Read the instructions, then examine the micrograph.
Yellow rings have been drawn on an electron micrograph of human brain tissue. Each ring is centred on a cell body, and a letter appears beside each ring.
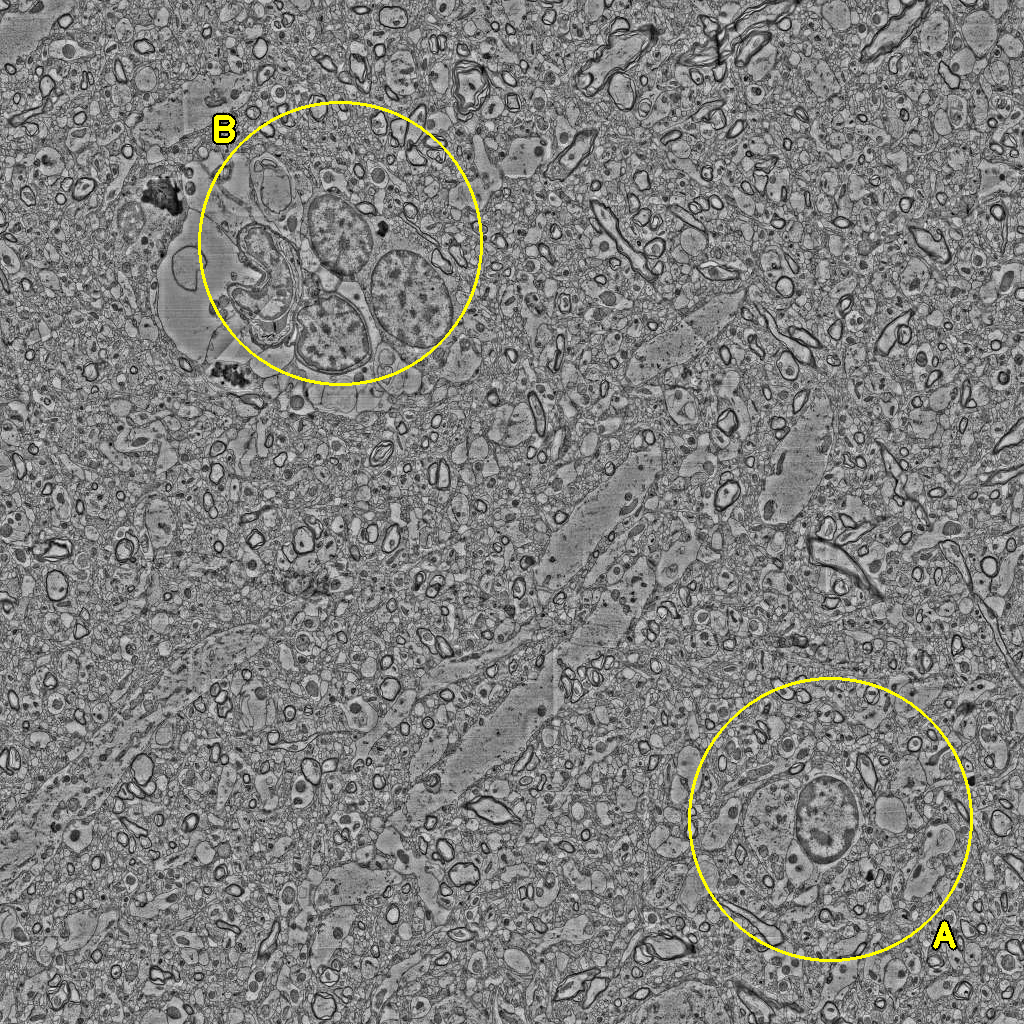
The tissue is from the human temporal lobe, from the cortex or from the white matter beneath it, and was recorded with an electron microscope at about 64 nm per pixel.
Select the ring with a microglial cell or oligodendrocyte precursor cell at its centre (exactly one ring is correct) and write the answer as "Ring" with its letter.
Ring A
